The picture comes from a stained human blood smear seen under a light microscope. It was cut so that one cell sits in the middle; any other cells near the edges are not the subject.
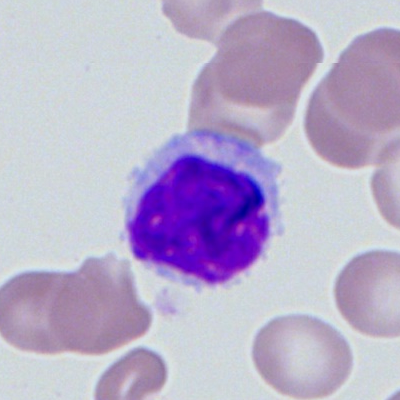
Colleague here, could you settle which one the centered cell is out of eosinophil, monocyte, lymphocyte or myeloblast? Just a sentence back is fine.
By type, the central cell of the crop is a lymphocyte.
